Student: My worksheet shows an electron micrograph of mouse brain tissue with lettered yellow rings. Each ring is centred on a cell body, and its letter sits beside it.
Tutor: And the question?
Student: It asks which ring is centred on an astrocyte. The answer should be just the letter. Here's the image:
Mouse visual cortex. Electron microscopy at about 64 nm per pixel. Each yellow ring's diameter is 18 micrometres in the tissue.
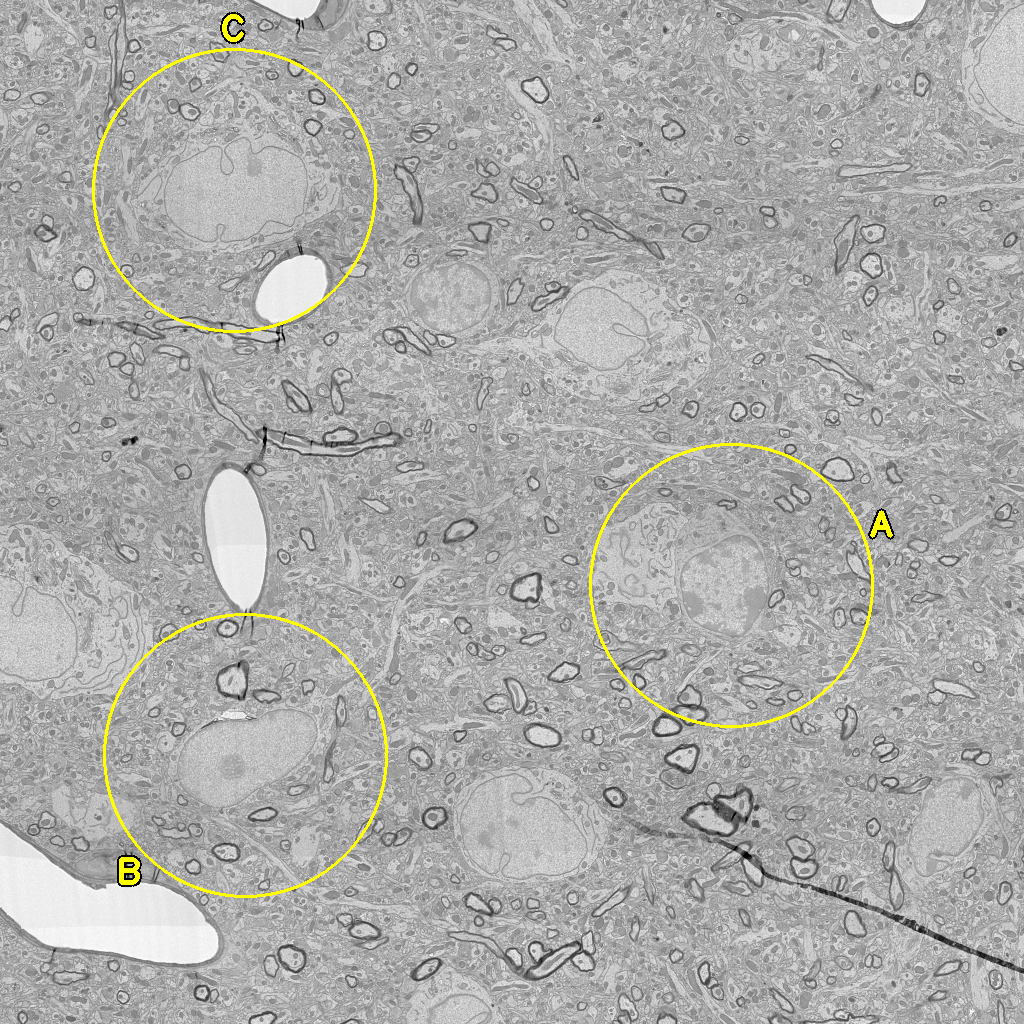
B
